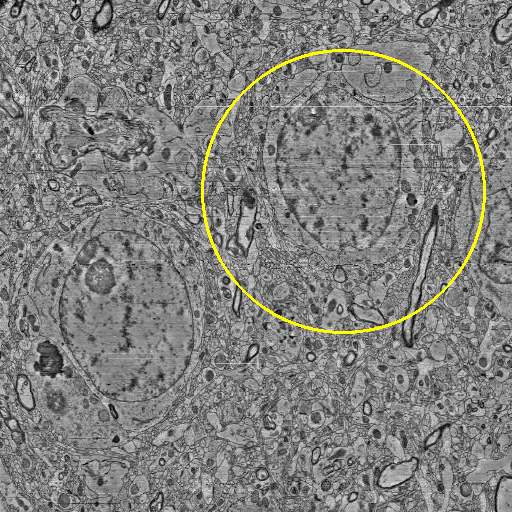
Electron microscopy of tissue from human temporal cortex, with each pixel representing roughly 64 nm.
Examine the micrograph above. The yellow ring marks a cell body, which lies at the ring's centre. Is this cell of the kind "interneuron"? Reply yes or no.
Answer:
yes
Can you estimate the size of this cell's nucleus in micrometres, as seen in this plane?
Approximately 11 by 8 micrometers in this plane.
